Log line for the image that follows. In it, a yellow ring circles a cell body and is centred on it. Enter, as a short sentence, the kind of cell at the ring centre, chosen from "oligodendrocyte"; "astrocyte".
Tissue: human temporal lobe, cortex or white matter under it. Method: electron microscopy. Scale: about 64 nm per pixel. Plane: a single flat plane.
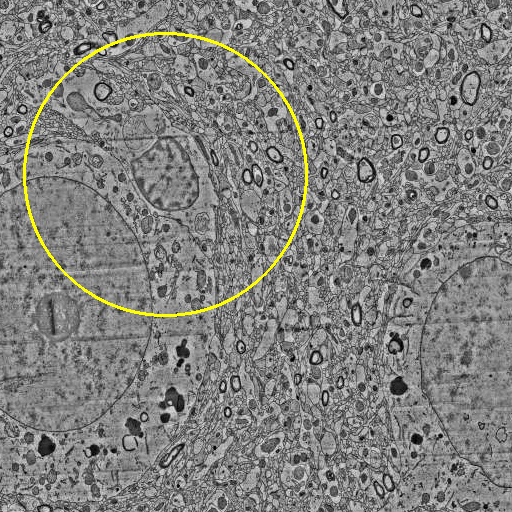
The ring centre is occupied by an astrocyte.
